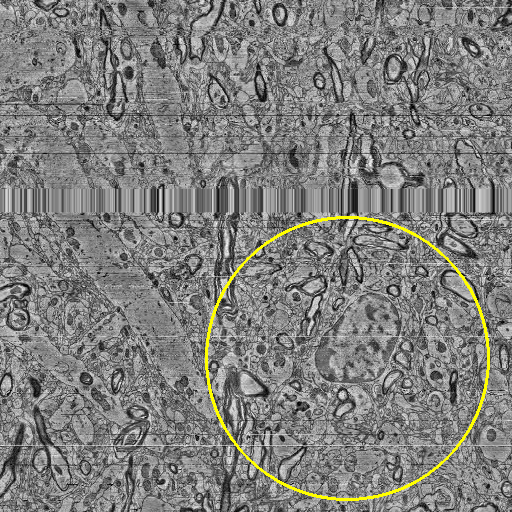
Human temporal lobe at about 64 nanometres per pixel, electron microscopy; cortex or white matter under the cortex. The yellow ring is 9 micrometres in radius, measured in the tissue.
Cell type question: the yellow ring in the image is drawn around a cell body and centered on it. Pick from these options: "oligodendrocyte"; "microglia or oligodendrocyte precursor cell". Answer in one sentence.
The ringed cell at the center is a microglial cell or oligodendrocyte precursor cell.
